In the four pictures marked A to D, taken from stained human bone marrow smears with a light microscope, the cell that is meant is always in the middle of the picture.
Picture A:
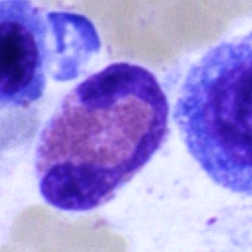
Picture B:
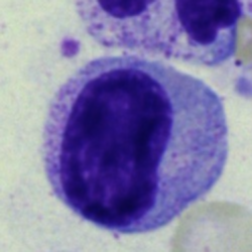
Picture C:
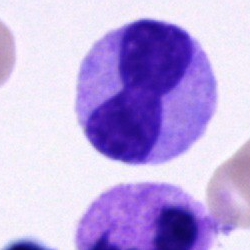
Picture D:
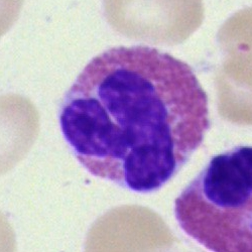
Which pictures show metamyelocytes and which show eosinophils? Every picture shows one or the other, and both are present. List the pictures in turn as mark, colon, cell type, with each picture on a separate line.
A: eosinophil
B: metamyelocyte
C: metamyelocyte
D: eosinophil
